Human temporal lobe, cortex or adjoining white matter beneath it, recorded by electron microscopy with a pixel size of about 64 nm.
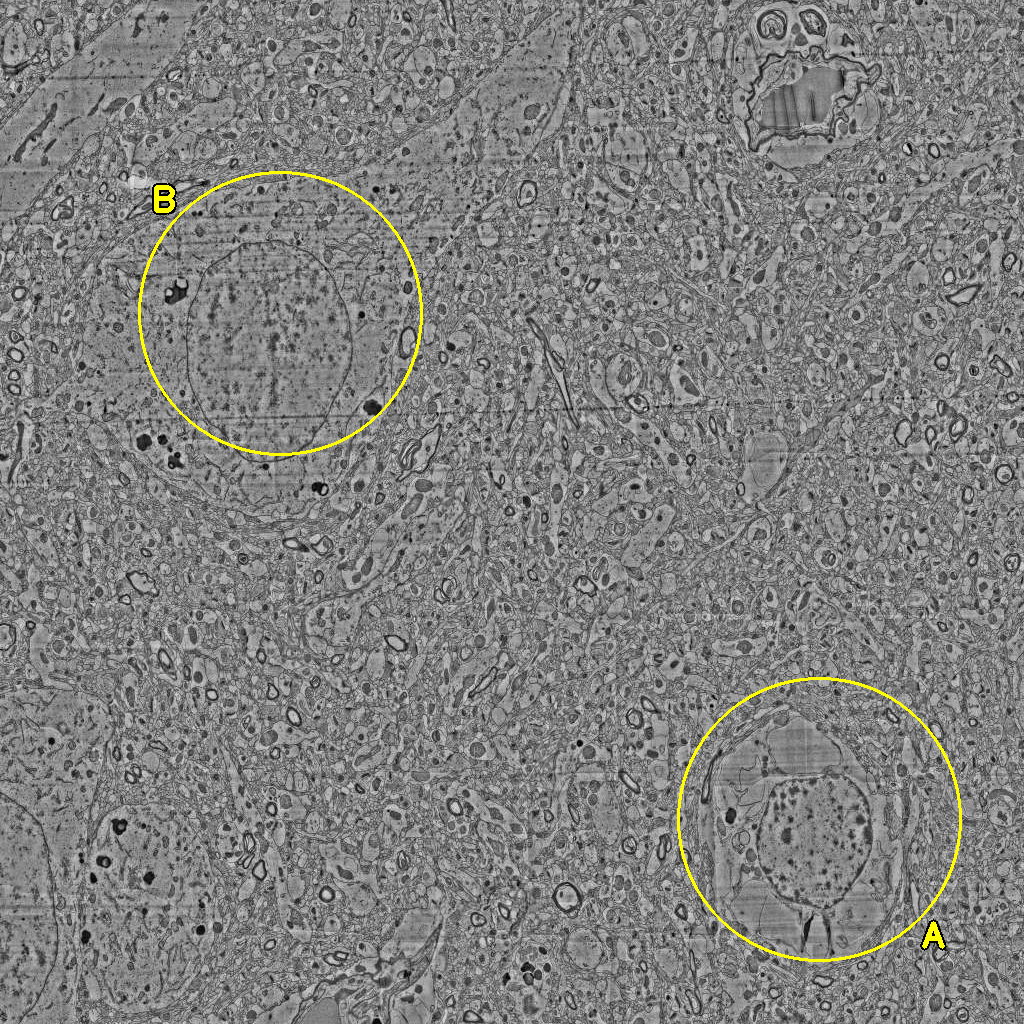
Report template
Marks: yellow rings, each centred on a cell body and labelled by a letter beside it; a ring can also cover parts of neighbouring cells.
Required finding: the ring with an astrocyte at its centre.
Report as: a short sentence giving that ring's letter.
Ring A holds that cell at its centre.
